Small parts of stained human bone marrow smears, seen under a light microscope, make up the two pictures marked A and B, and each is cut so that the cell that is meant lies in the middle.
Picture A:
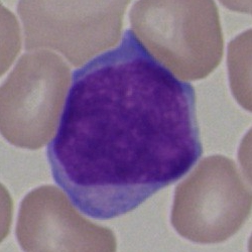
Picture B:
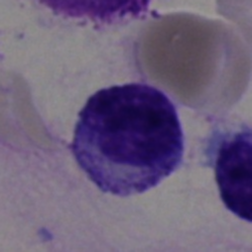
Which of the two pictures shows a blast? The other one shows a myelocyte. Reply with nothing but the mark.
A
